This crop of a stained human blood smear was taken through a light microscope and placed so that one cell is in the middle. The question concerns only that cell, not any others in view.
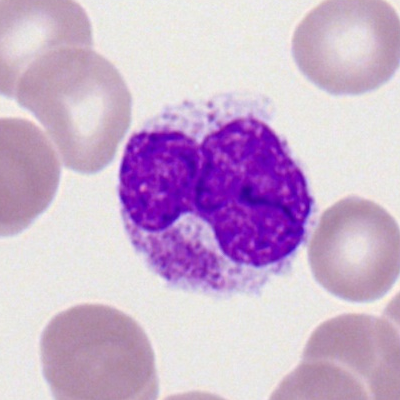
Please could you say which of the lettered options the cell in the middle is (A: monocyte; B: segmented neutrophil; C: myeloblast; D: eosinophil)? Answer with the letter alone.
D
